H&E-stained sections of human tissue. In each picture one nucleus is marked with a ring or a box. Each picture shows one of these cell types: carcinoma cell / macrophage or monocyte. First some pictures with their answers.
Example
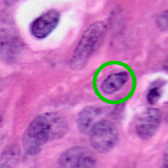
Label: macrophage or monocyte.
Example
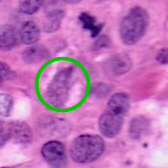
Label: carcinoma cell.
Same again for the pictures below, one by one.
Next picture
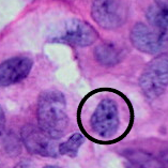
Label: macrophage or monocyte.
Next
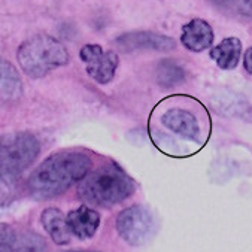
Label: macrophage or monocyte.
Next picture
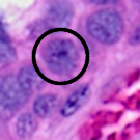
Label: carcinoma cell.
